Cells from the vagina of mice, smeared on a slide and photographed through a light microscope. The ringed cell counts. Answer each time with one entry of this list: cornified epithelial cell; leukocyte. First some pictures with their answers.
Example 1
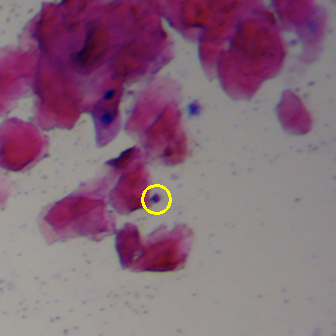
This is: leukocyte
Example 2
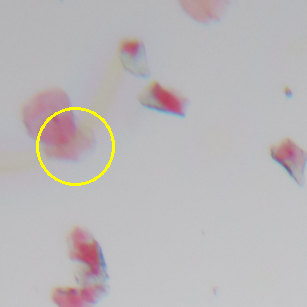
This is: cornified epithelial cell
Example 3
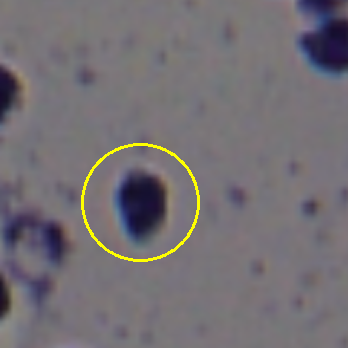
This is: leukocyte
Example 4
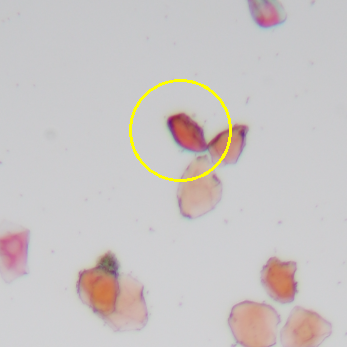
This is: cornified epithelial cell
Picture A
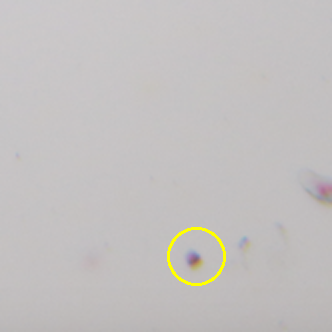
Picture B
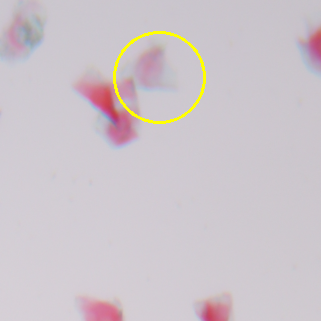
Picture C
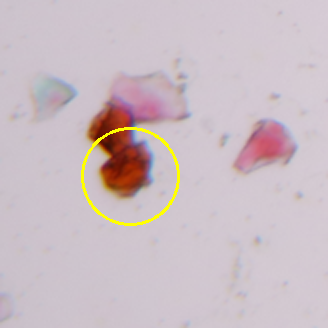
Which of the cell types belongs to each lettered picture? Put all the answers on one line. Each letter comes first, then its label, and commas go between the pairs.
A leukocyte, B cornified epithelial cell, C cornified epithelial cell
